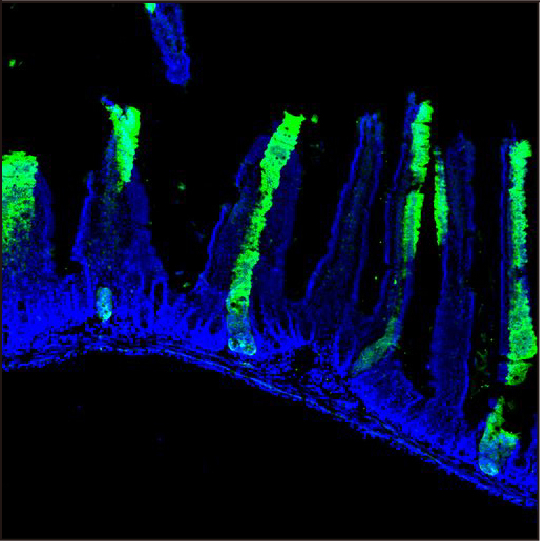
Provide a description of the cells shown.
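Section of small intestine with a row of slender villi standing on a thin wall at the bottom. Blue nuclei line each villus as a single epithelial layer and pack densely near the base. Several villi carry broad, bright green bands covering a long stretch of their epithelium, running from near the base up toward the tip, while neighbouring villi remain largely unlabelled. A few rounded green patches sit at the bases of villi, near the crypt region. Scattered single green cells are rare.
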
